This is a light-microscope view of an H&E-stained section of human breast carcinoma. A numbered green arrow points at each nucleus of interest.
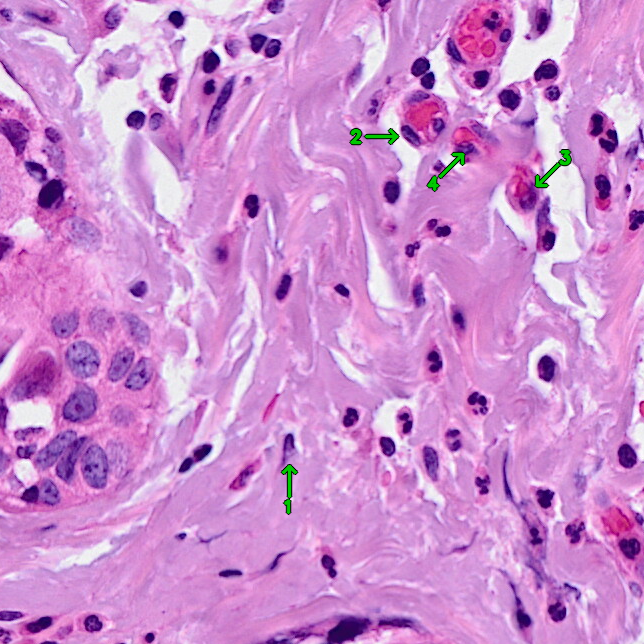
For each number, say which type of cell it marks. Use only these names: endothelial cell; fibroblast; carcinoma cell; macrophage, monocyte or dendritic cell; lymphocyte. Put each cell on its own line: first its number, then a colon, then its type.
1: fibroblast
2: endothelial cell
3: endothelial cell
4: endothelial cell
